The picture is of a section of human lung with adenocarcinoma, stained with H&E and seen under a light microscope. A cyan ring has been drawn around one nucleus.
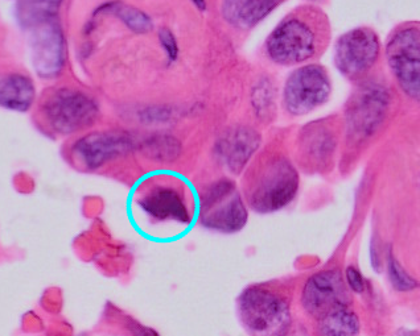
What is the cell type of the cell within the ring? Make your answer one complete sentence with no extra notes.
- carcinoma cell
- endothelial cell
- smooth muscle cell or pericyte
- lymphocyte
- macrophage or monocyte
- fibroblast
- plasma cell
It is a carcinoma cell that the cell within the ring represents.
